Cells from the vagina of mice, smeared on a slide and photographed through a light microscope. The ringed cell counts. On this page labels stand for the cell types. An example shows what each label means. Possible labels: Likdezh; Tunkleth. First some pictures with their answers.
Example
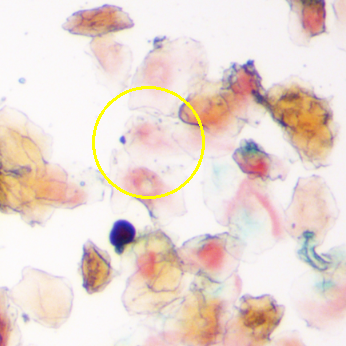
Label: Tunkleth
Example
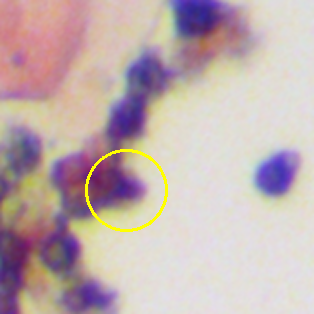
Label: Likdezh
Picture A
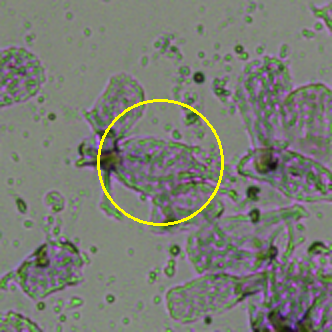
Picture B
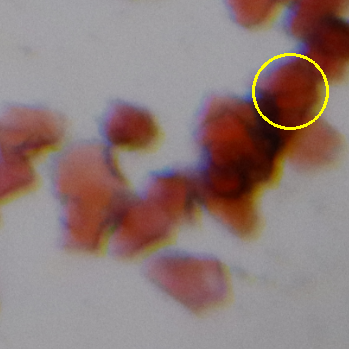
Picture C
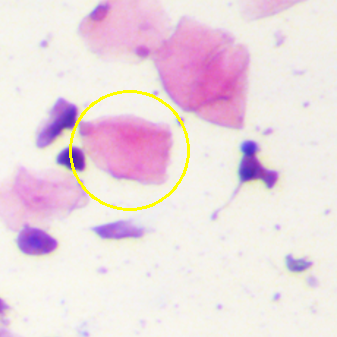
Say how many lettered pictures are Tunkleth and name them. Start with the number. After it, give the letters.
Count: 3 (A, B, C)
